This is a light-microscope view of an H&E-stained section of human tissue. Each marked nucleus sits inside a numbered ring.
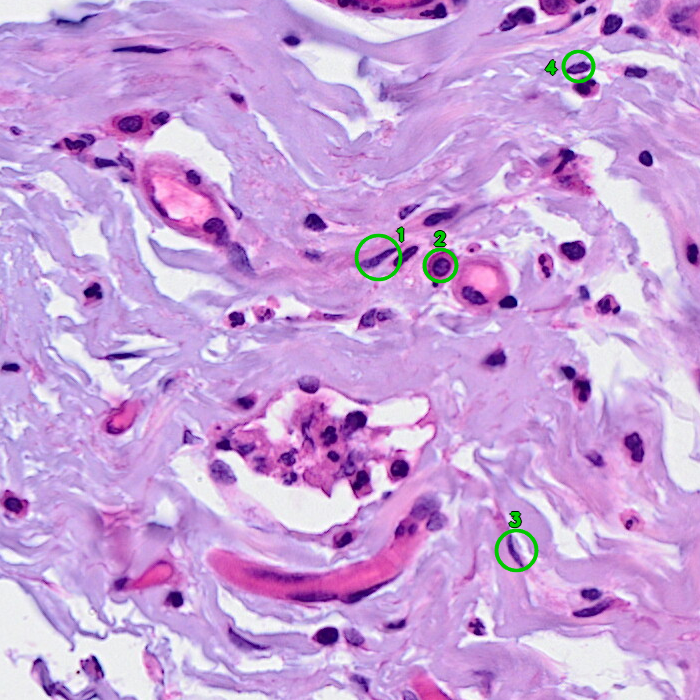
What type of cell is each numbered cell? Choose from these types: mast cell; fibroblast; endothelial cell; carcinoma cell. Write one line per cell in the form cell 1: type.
cell 1: fibroblast
cell 2: mast cell
cell 3: fibroblast
cell 4: fibroblast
